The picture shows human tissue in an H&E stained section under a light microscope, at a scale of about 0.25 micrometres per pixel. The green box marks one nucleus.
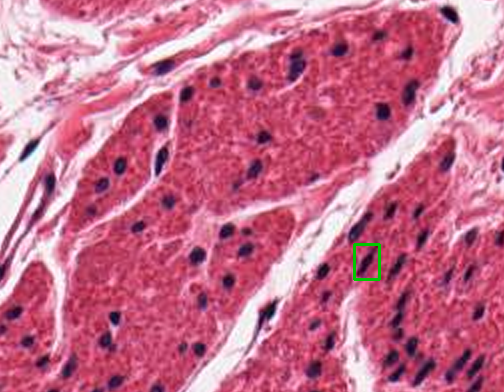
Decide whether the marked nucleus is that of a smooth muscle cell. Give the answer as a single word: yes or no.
yes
